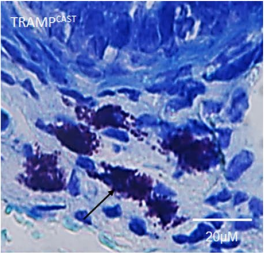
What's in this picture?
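This is prostate stroma with several mast cells lying in loose fibrous connective tissue next to a gland. The mast cells are filled with coarse, densely packed dark purple granules that partly obscure their nuclei, standing out sharply against the blue tissue. Around them lie elongated blue nuclei of stromal cells aligned with the fibres, and above them a layer of blue-stained epithelial cells.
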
